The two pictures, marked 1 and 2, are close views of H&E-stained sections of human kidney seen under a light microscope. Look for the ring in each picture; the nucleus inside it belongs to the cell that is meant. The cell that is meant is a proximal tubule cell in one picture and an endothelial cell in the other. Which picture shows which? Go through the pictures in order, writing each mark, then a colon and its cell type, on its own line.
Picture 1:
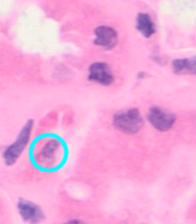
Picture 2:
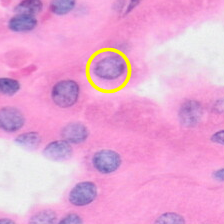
1: endothelial cell
2: proximal tubule cell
